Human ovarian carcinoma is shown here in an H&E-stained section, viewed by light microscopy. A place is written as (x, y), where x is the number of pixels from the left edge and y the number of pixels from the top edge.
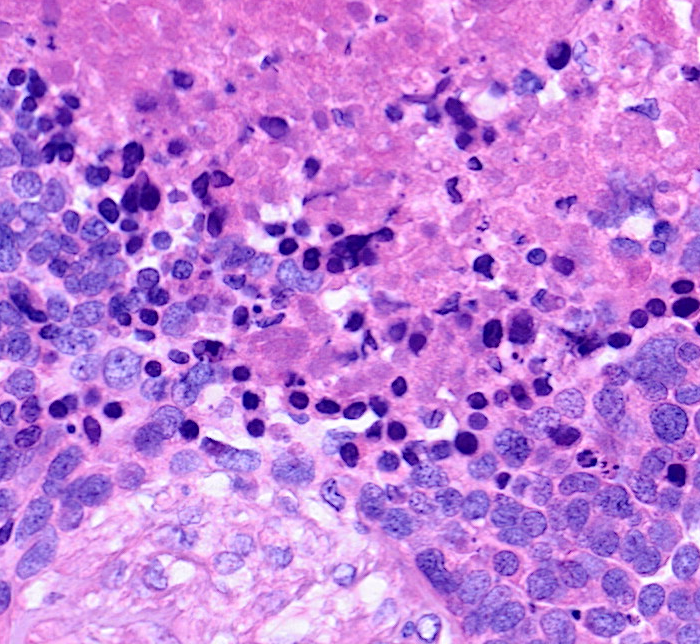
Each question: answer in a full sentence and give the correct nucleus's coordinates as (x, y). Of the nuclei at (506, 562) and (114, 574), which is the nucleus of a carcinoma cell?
At (506, 562) lies the nucleus that belongs to a carcinoma cell.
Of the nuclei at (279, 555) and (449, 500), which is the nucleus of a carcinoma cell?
At (449, 500) lies the nucleus that belongs to a carcinoma cell.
